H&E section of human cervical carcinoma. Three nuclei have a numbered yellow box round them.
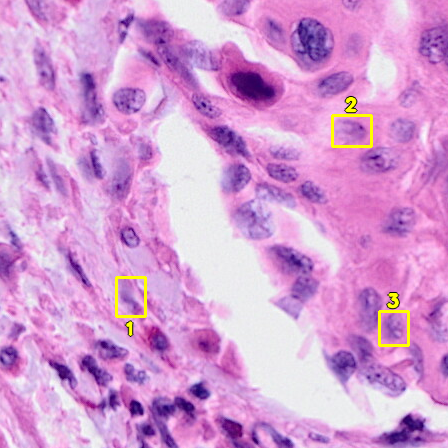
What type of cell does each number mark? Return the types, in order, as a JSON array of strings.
["fibroblast", "squamous carcinoma cell", "squamous carcinoma cell"]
